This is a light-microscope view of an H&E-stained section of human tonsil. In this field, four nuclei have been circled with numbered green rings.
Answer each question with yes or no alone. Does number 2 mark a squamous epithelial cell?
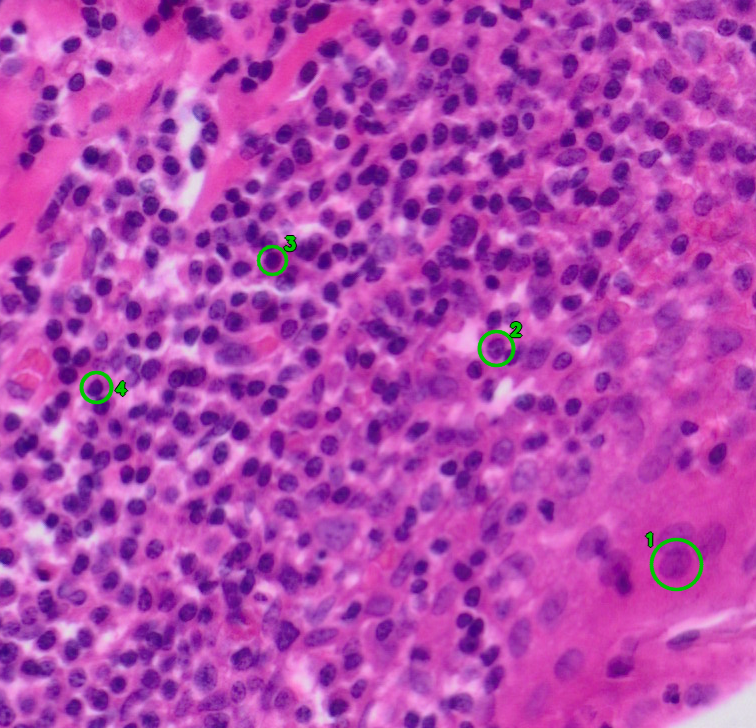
no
